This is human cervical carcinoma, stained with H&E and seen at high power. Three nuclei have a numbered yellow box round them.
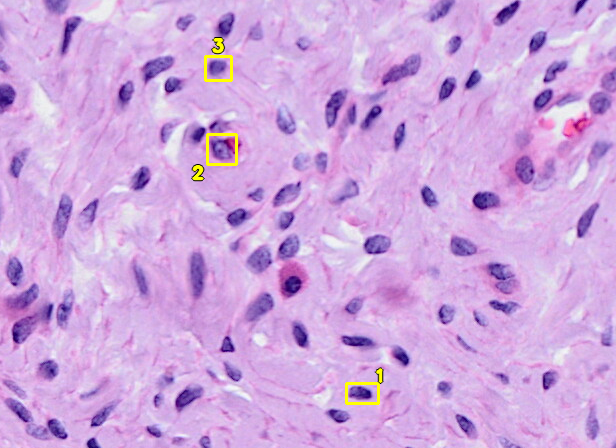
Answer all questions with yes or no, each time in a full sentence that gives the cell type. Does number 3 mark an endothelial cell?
No, the cell that carries number 3 is a fibroblast, not an endothelial cell.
